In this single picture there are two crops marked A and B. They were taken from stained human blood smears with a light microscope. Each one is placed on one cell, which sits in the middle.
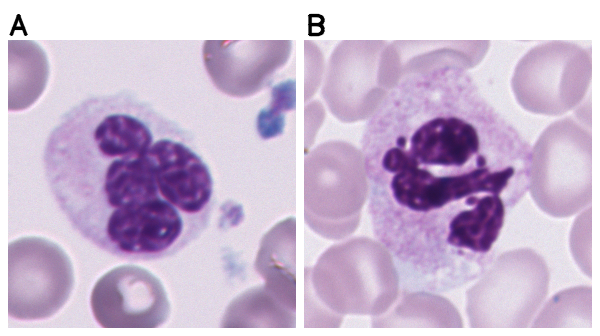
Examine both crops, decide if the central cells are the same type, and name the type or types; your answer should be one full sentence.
Yes, both crops in the pair show segmented neutrophils.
